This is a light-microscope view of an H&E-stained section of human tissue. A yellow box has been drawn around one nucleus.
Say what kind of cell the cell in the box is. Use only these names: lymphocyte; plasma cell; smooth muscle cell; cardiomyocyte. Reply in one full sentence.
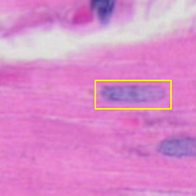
For cell typing purposes, the cell in the box is a cardiomyocyte.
